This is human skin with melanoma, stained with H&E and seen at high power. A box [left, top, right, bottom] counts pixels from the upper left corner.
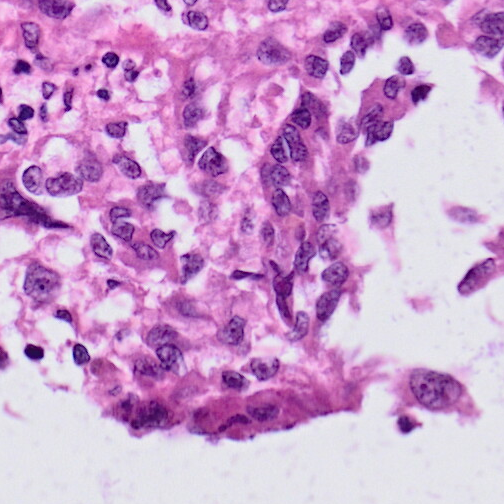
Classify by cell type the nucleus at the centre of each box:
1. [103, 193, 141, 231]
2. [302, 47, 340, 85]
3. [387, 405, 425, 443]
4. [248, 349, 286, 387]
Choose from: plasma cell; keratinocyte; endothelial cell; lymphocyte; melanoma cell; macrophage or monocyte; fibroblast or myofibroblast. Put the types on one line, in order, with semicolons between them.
melanoma cell; melanoma cell; lymphocyte; melanoma cell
